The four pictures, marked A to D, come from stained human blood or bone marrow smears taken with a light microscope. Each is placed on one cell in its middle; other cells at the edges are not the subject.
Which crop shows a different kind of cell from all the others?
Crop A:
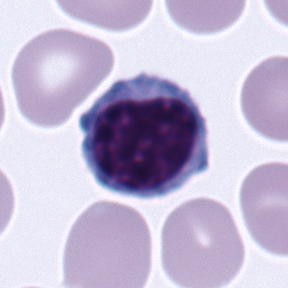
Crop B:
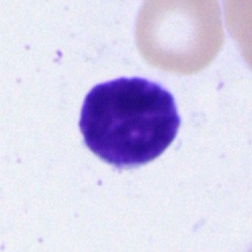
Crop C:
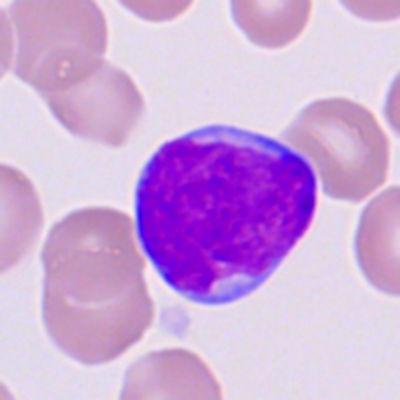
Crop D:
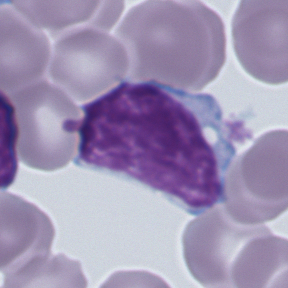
C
